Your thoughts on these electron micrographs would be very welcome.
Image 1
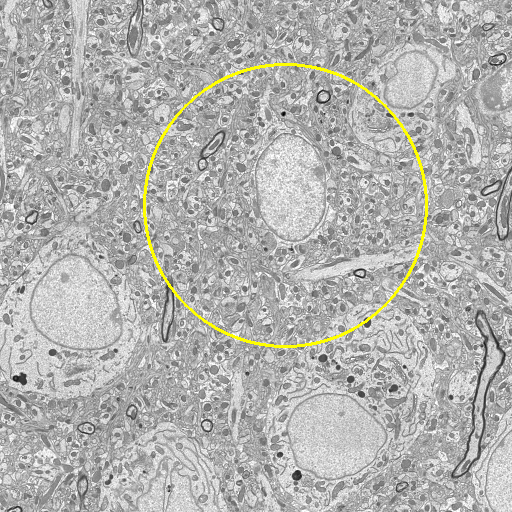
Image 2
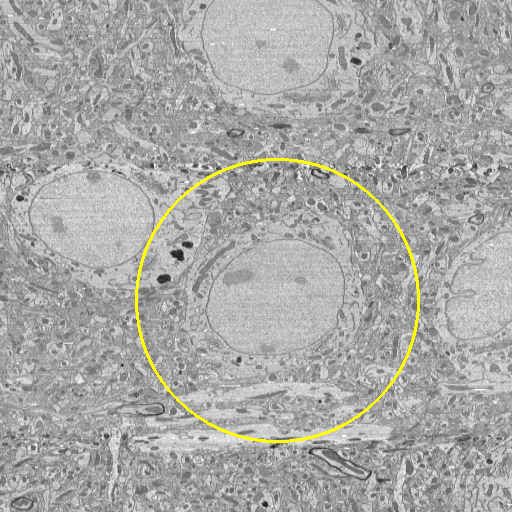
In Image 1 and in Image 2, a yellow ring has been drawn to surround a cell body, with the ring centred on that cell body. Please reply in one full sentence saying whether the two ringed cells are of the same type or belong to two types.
The ringed cells in Image 1 and Image 2 belong to two types.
